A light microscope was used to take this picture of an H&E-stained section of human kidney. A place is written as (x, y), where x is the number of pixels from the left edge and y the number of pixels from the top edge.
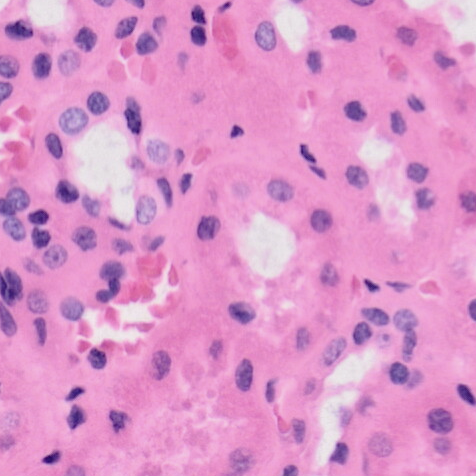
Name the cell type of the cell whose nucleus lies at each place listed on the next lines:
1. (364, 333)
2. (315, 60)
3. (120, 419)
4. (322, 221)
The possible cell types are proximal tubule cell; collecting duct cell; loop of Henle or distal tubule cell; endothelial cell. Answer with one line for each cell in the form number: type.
1: collecting duct cell
2: loop of Henle or distal tubule cell
3: proximal tubule cell
4: proximal tubule cell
